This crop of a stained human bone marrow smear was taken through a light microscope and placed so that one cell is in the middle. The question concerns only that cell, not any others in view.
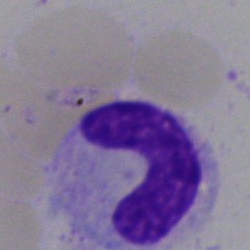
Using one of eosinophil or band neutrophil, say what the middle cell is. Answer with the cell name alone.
band neutrophil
